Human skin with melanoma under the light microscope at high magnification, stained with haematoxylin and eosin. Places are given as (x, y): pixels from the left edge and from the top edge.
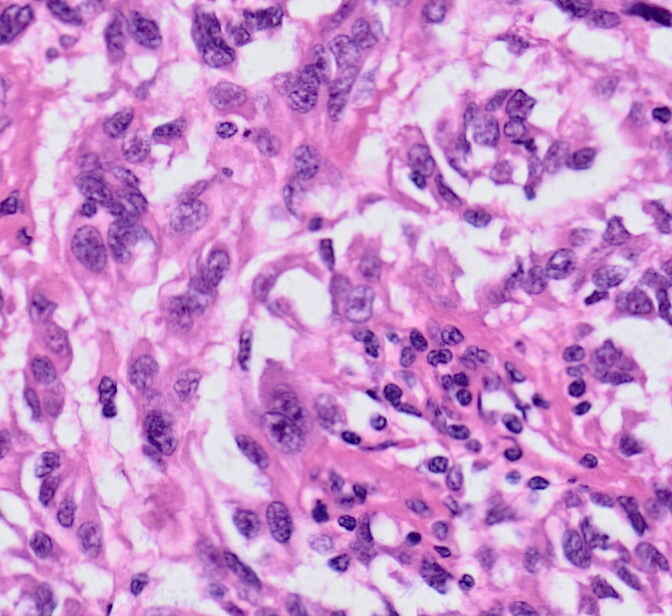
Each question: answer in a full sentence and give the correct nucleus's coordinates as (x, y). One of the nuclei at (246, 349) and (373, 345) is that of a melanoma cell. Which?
In this pair, the nucleus at (246, 349) belongs to a melanoma cell.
